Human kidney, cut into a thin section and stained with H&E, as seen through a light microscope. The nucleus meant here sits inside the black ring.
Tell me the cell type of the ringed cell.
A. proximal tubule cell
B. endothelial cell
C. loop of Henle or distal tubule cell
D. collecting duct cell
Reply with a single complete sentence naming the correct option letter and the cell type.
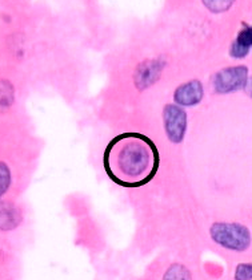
Option A is right, and the ringed cell is a proximal tubule cell.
